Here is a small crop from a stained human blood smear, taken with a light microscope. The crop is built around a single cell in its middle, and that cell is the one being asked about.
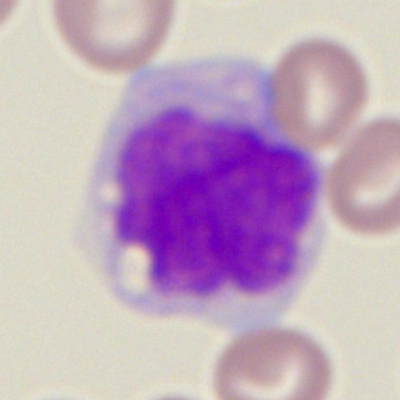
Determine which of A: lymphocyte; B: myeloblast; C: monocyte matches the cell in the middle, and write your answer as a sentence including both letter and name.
Well, the cell in the middle is a monocyte, making option C right.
